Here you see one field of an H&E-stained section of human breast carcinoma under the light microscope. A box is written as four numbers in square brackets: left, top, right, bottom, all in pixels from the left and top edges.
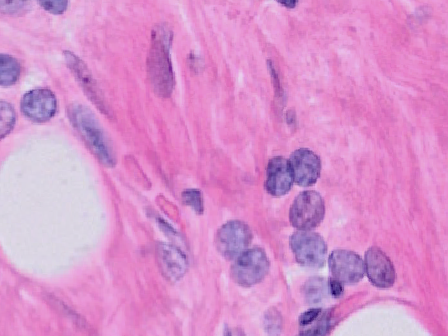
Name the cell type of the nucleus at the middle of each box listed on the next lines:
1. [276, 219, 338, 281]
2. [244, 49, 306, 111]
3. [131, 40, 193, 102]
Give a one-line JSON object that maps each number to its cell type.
{"1": "carcinoma cell", "2": "fibroblast", "3": "fibroblast"}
